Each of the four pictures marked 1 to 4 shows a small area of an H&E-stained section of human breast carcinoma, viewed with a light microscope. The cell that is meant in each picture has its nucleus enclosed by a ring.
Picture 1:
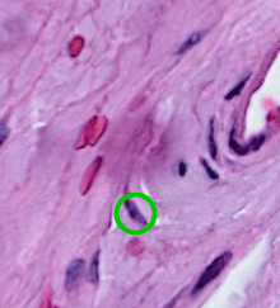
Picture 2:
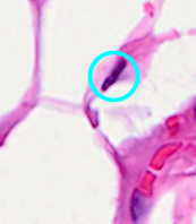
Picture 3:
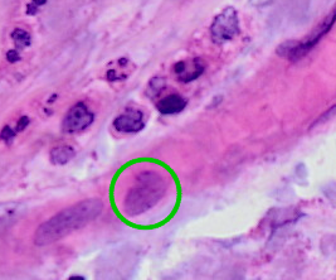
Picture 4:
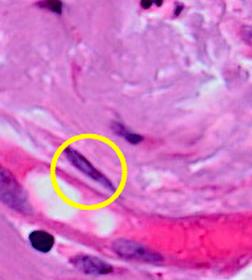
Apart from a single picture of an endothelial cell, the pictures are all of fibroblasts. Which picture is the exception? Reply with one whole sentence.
The endothelial cell is the one in picture 3.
